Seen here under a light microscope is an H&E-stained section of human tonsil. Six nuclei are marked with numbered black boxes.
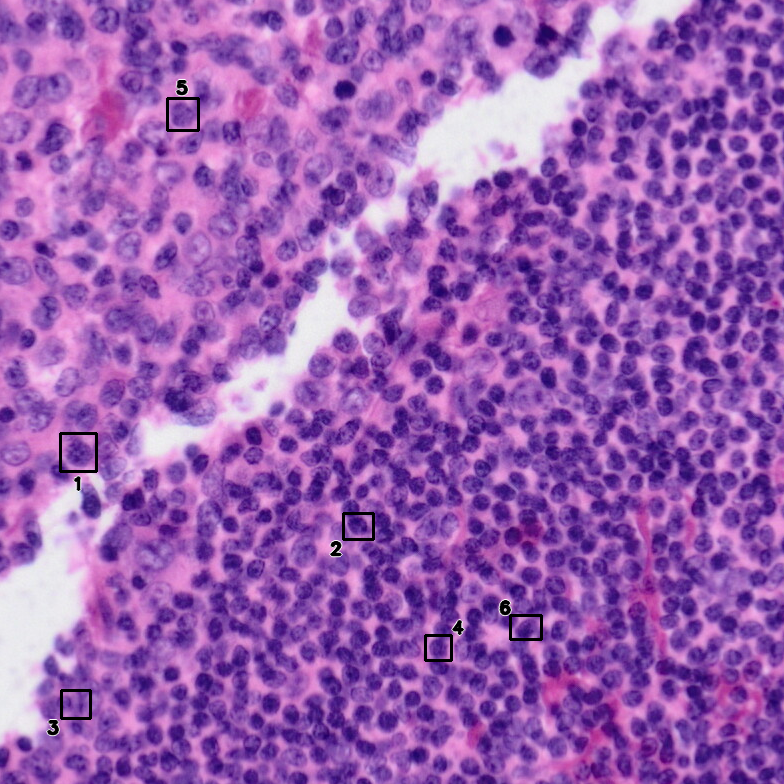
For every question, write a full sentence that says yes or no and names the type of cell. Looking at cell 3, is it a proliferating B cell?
Yes, it is a proliferating B cell that carries the number 3.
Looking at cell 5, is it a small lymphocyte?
No, the cell labelled 5 is a proliferating B cell and not a small lymphocyte.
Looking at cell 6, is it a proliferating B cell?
No, at number 6 sits a small lymphocyte, not a proliferating B cell.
